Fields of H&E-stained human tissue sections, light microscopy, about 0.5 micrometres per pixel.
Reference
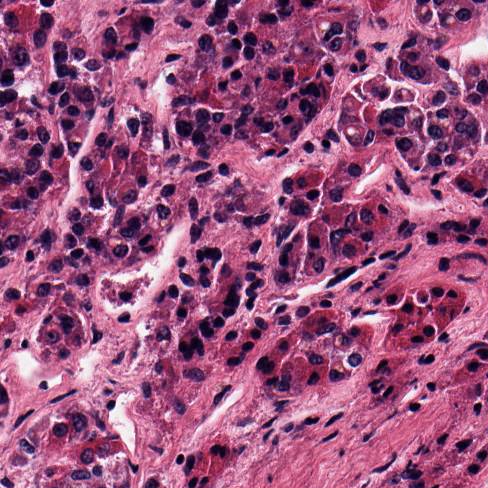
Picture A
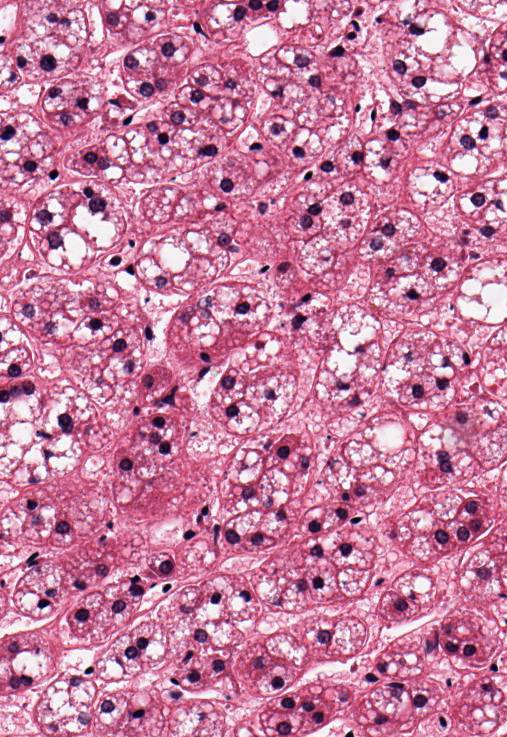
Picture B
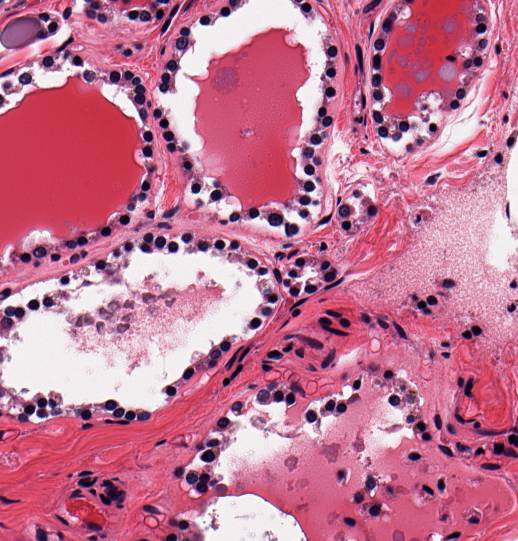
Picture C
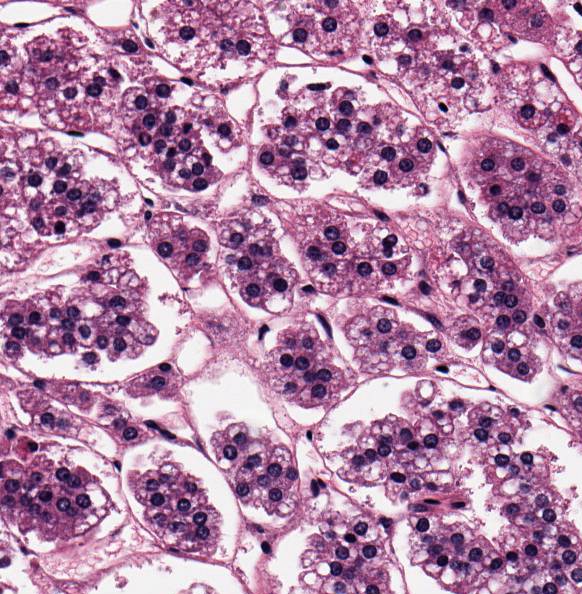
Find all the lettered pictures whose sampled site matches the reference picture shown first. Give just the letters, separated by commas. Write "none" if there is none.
none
